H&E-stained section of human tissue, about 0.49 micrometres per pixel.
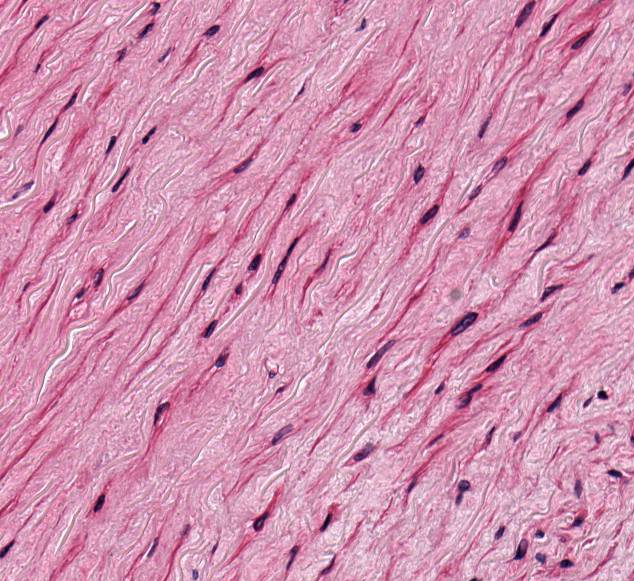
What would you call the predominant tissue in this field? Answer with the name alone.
tunica media of an artery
